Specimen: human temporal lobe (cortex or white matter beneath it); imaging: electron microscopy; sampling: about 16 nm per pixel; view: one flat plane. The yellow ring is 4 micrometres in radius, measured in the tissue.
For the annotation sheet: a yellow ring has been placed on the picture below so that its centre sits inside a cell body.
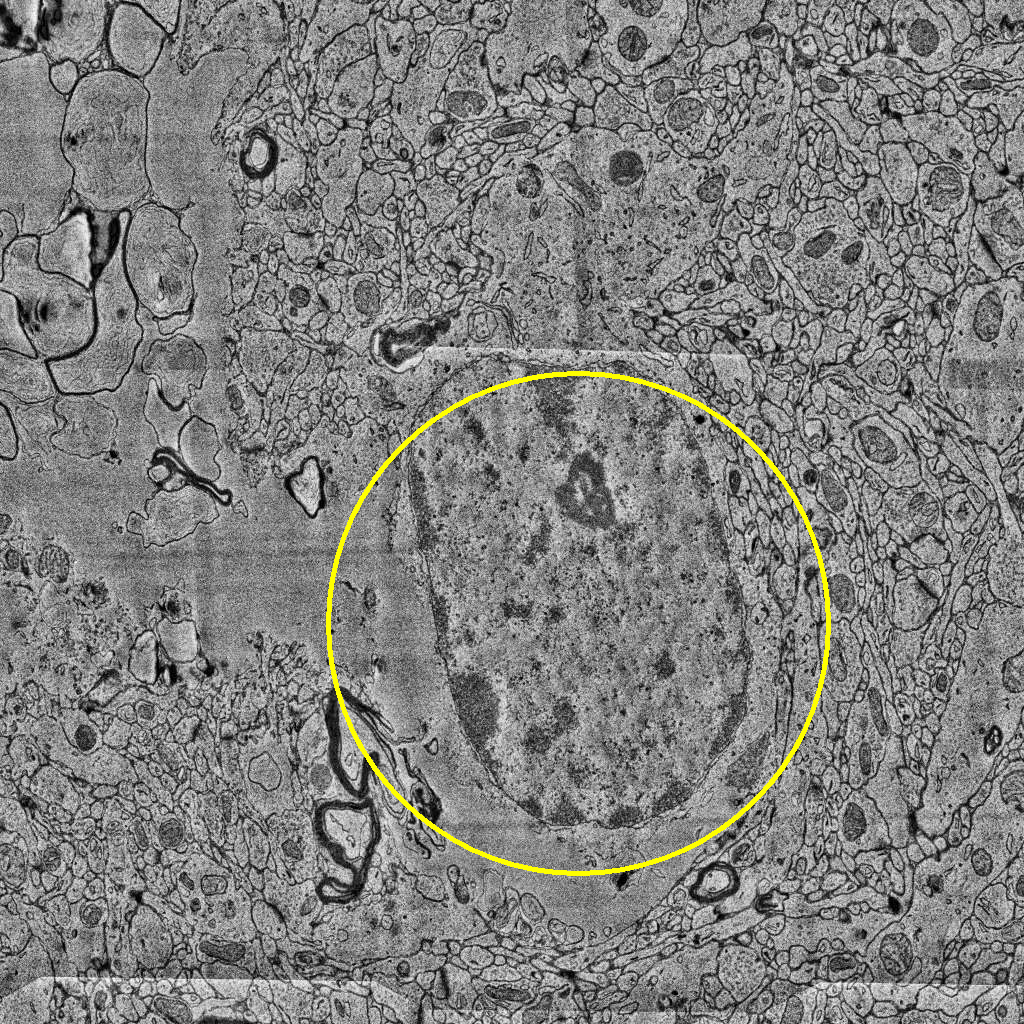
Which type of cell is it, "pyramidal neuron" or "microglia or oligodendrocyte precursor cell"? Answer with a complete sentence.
The cell at the ring's centre is a microglial cell or oligodendrocyte precursor cell.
